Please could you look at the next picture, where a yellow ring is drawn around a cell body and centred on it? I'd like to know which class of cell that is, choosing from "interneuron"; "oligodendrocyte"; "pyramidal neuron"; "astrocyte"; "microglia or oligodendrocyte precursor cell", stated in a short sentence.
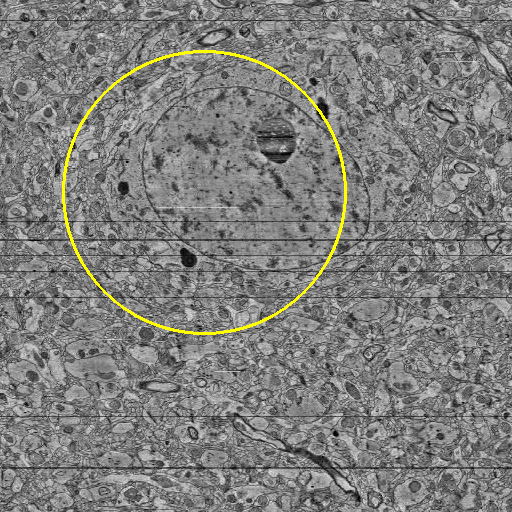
The ring's centre lies on a pyramidal neuron.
